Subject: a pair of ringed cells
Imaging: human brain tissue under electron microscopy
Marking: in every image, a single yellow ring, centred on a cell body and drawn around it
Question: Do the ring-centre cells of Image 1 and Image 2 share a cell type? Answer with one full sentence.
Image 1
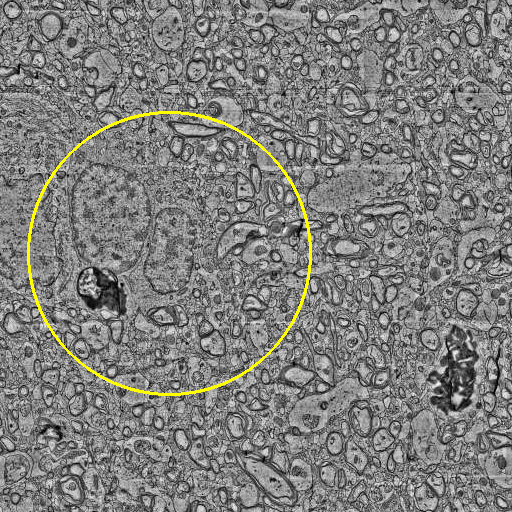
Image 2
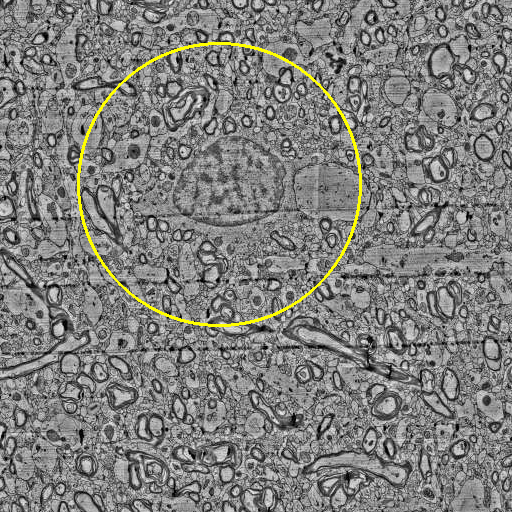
Yes, at each ring's centre in the images sits a cell of one common type.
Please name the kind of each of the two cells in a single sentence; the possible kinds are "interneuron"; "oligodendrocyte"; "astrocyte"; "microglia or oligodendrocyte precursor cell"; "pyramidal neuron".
Both cells are the same kind, each one being an oligodendrocyte.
